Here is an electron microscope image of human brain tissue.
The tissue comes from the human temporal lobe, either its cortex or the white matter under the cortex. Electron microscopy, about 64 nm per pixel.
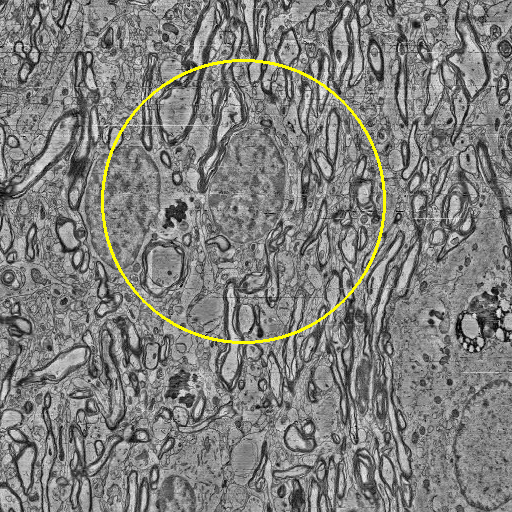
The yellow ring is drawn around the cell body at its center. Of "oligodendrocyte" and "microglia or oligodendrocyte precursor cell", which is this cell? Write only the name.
oligodendrocyte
